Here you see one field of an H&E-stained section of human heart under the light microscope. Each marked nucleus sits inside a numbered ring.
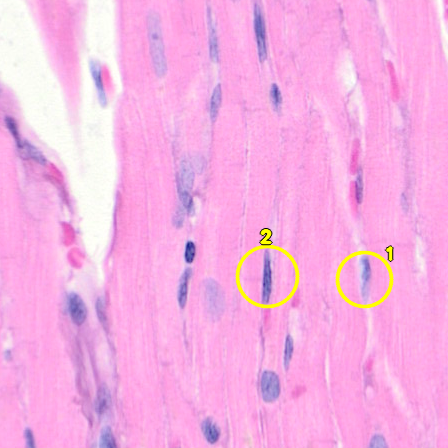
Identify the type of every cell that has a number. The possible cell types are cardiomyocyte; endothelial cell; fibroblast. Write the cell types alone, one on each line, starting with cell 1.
fibroblast
endothelial cell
